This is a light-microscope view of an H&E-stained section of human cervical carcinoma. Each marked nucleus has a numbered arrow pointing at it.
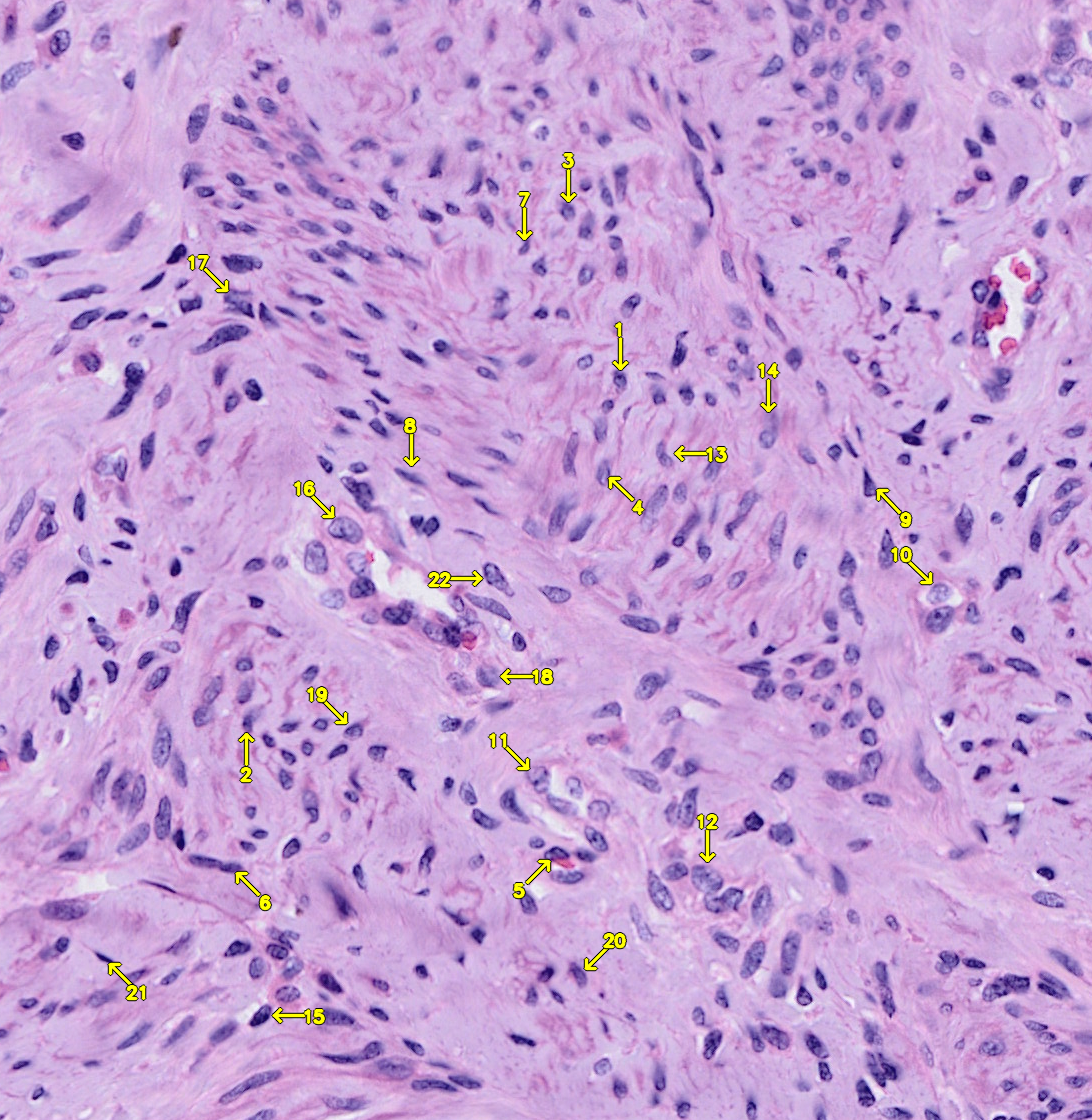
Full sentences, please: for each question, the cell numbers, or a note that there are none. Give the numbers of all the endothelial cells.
By cell type, the cells numbered 5, 10, 11, 12, 16 and 18 are endothelial cells.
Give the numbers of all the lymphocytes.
Only number 15 of the marked cells is a lymphocyte.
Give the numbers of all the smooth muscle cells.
The cells with the numbers 1, 2, 3, 4, 7, 13, 14, 19 and 20 are smooth muscle cells.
